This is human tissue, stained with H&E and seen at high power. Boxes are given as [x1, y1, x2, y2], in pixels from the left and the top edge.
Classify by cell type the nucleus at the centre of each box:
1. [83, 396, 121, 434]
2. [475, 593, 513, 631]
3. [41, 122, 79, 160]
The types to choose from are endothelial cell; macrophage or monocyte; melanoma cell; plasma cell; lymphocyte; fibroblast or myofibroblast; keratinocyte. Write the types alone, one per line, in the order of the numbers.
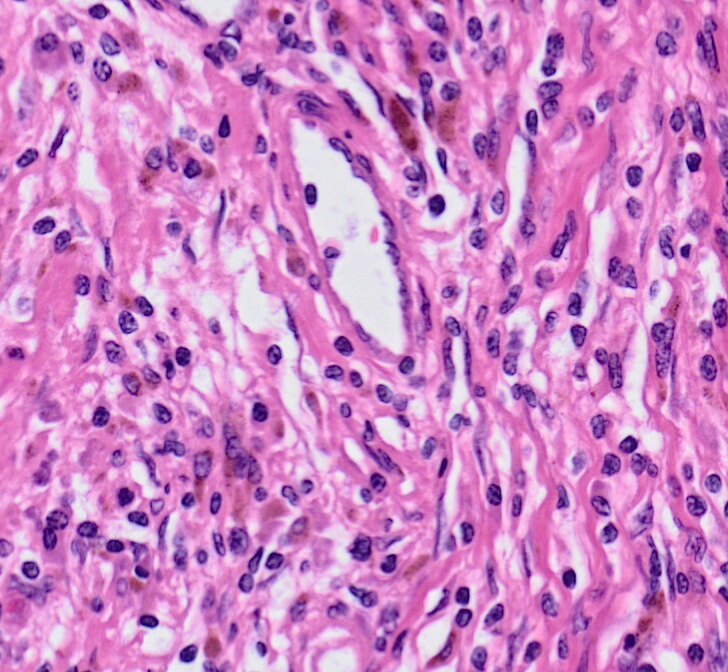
plasma cell
lymphocyte
fibroblast or myofibroblast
